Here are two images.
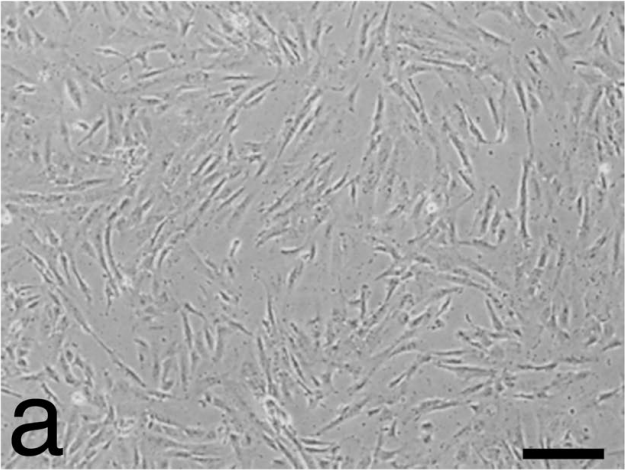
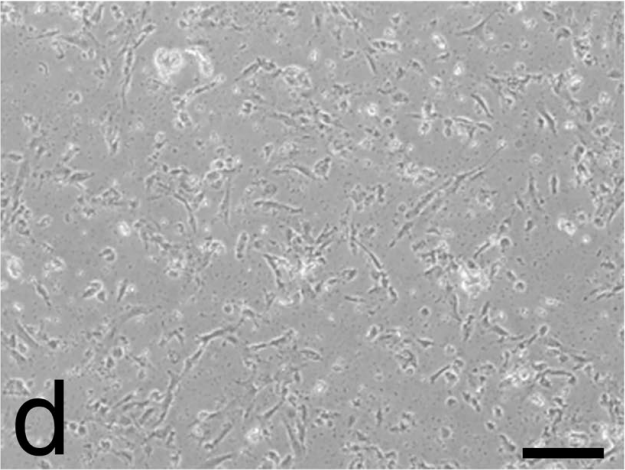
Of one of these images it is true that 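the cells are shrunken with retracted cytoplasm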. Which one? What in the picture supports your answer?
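Second image: small, rounded, refractile cells scattered with much bare substrate between them. First image: a dense, confluent layer of elongated spread cells covering the surface.
Answer: the second image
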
